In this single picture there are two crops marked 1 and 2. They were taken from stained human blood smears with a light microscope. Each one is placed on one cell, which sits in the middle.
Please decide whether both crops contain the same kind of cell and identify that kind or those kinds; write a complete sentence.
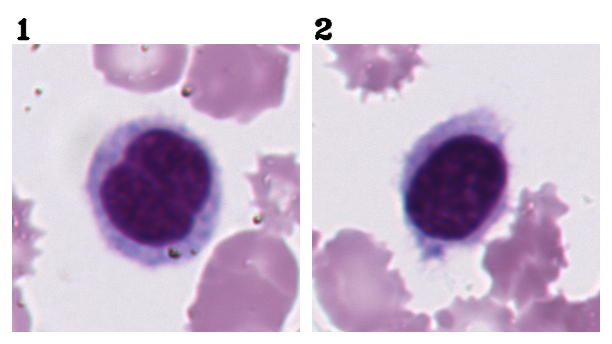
Yes, both crops do show hairy cells in the middle.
